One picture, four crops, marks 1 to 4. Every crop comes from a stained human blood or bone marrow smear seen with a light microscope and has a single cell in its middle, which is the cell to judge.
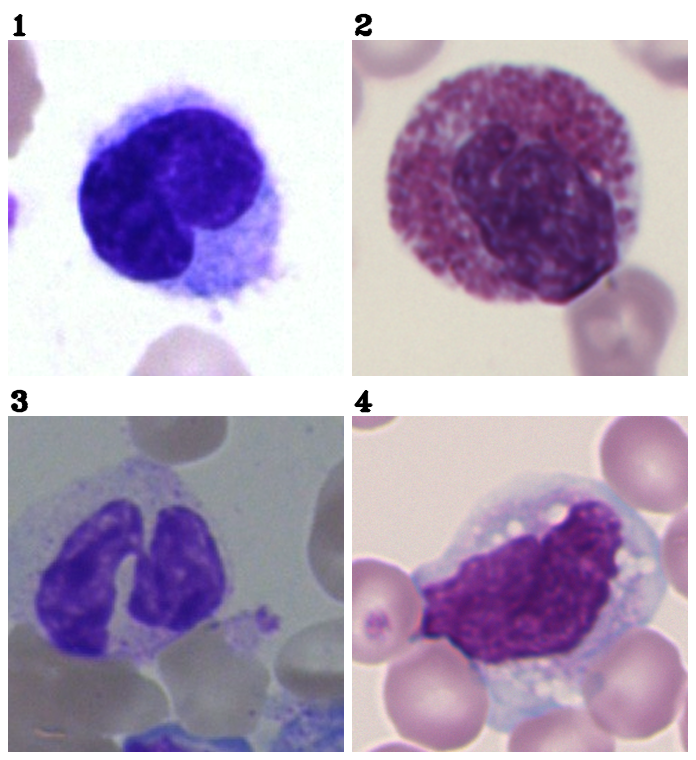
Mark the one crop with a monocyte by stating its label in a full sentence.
The crop with a monocyte at its center is crop 4.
